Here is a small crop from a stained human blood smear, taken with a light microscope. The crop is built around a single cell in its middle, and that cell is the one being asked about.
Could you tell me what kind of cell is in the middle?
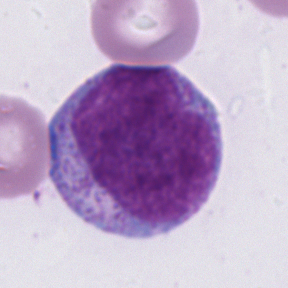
promyelocyte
